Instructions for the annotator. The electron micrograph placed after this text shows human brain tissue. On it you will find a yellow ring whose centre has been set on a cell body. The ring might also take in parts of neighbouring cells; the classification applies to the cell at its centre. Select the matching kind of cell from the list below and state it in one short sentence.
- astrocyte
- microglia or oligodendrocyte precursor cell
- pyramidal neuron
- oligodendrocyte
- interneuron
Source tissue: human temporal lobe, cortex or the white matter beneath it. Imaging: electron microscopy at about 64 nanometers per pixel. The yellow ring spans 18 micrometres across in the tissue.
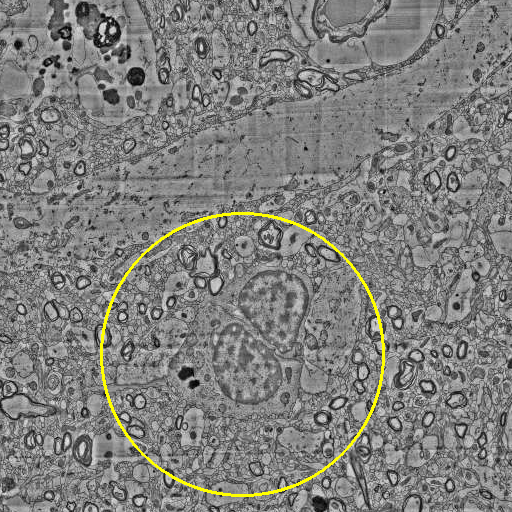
The ring is drawn on the cell body of an oligodendrocyte.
